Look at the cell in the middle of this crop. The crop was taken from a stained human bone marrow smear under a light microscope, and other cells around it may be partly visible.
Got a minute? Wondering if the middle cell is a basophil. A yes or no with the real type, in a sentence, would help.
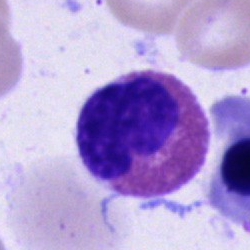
No, instead of a basophil, the middle cell is an eosinophil.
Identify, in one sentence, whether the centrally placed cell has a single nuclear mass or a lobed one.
The nucleus amounts to one compact mass with a round, oval or kidney-shaped outline.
